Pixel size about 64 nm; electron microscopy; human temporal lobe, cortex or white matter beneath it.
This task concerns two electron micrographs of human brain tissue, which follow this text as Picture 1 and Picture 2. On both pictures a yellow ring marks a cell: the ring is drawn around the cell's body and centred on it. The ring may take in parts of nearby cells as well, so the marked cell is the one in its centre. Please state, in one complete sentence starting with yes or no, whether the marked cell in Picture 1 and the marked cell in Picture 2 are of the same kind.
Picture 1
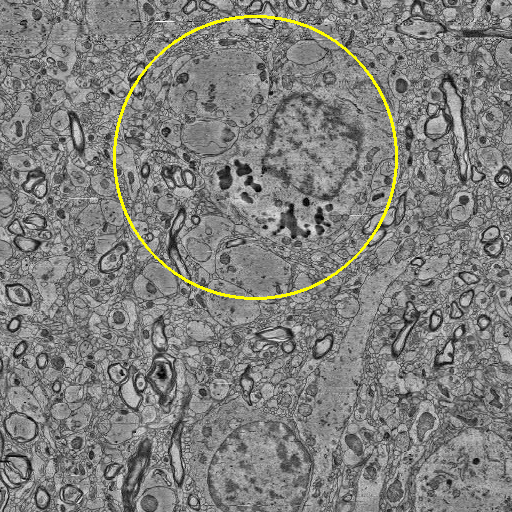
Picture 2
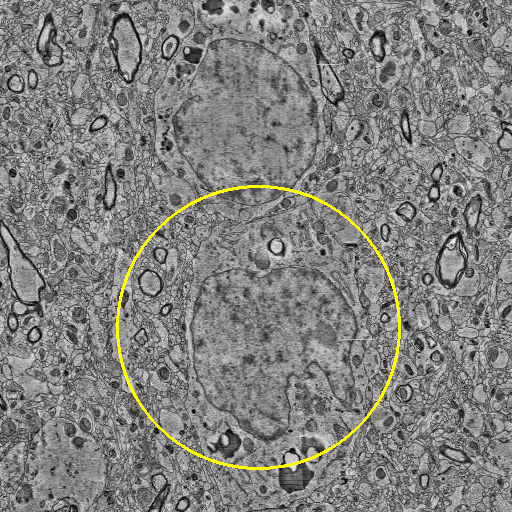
Yes, the marked cells in both pictures are of the same kind.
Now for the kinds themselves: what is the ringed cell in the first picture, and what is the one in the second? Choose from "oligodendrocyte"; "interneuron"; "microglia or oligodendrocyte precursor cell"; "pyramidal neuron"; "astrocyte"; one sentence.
Each cell, in the first picture and the second, is an interneuron.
